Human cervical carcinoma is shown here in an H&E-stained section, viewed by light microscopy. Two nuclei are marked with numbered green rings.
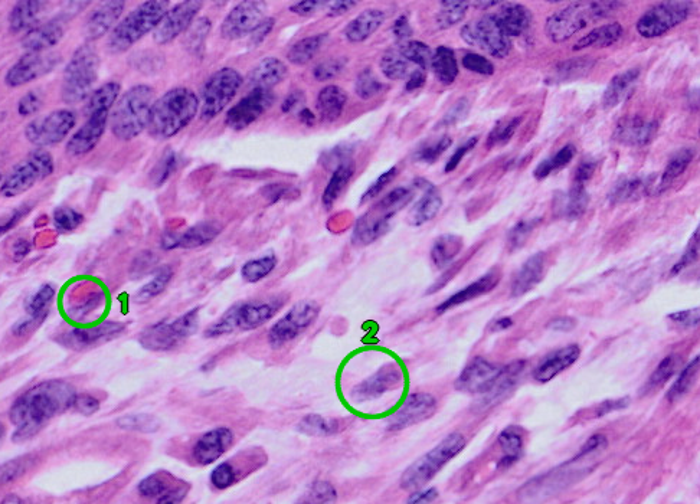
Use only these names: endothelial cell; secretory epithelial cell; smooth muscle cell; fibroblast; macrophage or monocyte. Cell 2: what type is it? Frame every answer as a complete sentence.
Cell 2, among those numbered, is a fibroblast.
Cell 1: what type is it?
At number 1, the marked cell is an endothelial cell.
